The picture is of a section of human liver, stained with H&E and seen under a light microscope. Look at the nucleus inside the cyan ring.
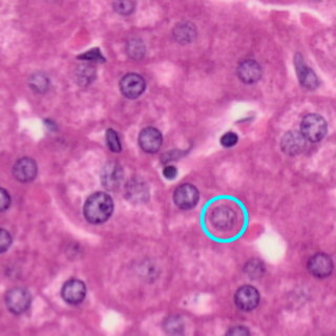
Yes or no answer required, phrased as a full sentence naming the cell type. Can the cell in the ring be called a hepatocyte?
Yes, identifying the cell in the ring as a hepatocyte is right.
